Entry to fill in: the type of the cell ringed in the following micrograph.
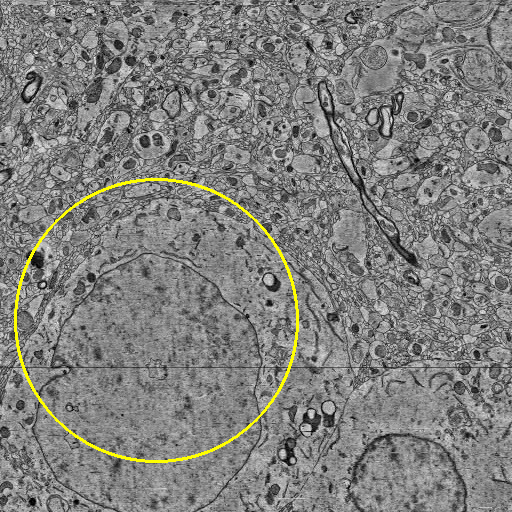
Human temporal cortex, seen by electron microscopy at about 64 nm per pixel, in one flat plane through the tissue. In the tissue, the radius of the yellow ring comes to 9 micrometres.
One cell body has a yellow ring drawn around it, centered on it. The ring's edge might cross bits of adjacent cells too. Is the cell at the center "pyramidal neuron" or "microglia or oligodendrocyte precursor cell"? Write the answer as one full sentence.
This entry names a pyramidal neuron as the cell whose body lies at the ring's center.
